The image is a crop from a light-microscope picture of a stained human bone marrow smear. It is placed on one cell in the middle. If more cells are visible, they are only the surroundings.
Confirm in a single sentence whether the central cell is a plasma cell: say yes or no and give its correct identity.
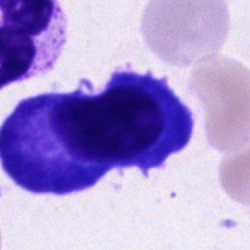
Yes, the middle cell here is a plasma cell.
